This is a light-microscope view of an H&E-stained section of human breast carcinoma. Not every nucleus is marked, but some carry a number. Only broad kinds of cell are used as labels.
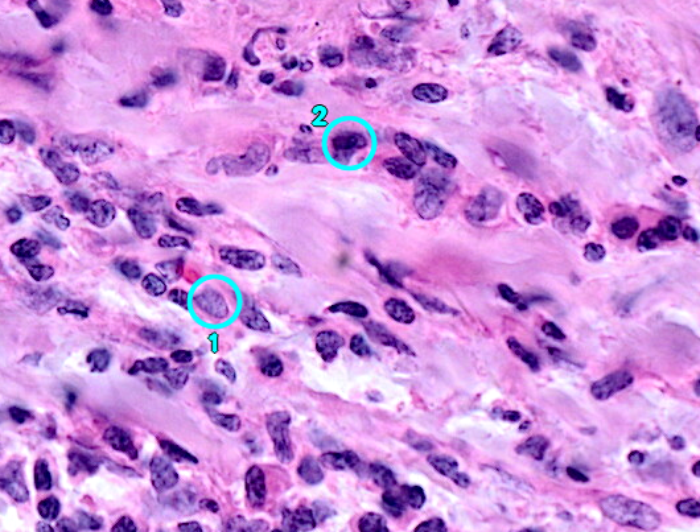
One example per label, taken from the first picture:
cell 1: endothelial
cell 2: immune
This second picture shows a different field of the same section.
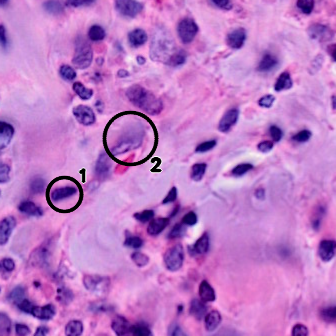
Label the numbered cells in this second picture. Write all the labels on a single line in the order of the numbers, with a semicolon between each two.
immune; endothelial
